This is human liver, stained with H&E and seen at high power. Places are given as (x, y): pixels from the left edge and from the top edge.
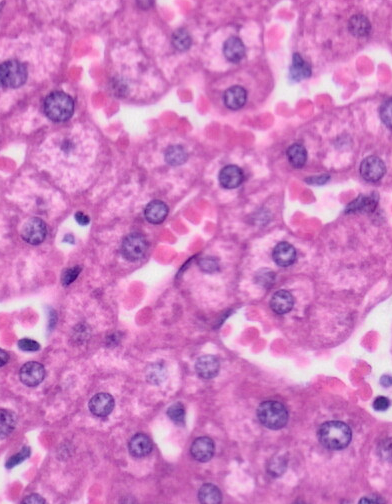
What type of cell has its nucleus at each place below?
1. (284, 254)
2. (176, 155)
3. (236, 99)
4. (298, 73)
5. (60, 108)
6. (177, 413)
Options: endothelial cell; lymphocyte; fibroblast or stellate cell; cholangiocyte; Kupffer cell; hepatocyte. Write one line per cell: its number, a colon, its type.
1: hepatocyte
2: hepatocyte
3: hepatocyte
4: Kupffer cell
5: hepatocyte
6: Kupffer cell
